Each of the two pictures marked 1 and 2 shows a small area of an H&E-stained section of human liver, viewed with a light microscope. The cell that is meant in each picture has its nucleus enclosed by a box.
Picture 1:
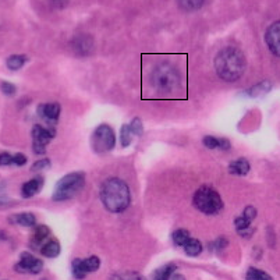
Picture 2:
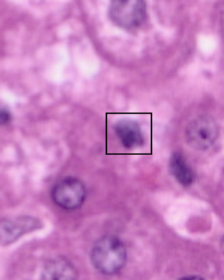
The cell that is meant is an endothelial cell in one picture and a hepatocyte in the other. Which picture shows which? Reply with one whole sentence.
The cell in picture 1 is a hepatocyte, and the one in picture 2 is an endothelial cell.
